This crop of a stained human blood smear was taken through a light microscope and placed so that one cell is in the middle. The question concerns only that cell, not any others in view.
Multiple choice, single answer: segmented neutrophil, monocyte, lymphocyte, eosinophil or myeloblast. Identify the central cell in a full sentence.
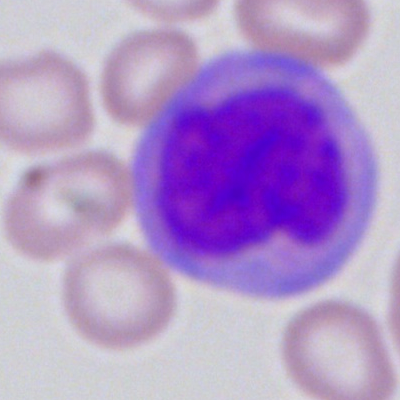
The identification for the central cell is a monocyte.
